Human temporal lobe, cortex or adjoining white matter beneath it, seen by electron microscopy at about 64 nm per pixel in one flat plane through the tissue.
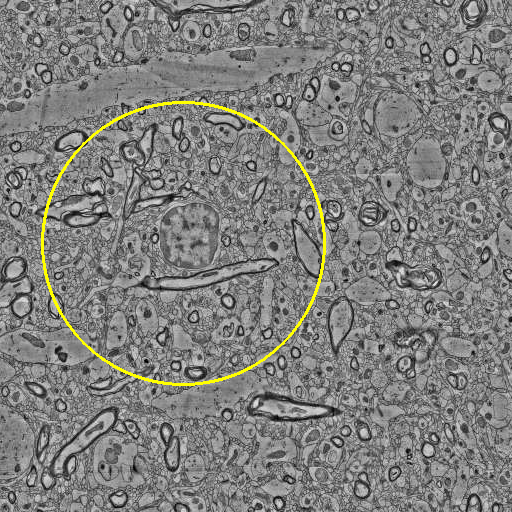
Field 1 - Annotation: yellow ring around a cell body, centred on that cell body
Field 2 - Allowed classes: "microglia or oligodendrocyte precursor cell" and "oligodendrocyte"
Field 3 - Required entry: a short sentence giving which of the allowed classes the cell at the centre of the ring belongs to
The centred cell is a microglial cell or oligodendrocyte precursor cell.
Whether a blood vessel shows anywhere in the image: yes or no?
No.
